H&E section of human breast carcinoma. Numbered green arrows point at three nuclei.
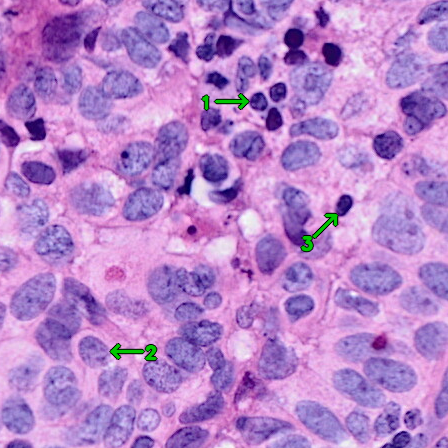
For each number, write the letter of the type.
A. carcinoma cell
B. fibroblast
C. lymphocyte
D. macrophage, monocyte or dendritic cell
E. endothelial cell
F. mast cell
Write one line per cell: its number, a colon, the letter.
1: C
2: A
3: C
